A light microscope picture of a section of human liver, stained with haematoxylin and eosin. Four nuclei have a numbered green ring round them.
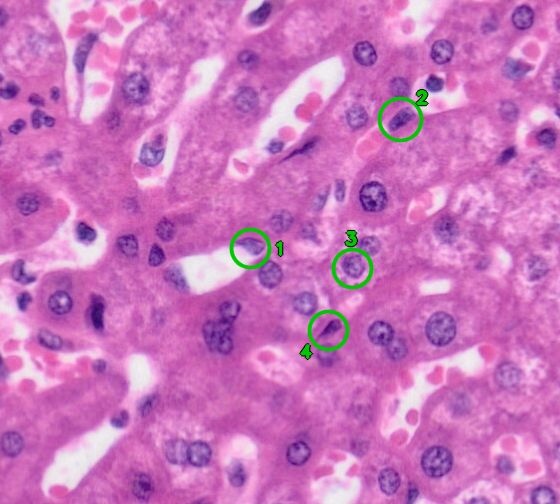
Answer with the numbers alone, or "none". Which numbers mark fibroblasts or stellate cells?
2, 4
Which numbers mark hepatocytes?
3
